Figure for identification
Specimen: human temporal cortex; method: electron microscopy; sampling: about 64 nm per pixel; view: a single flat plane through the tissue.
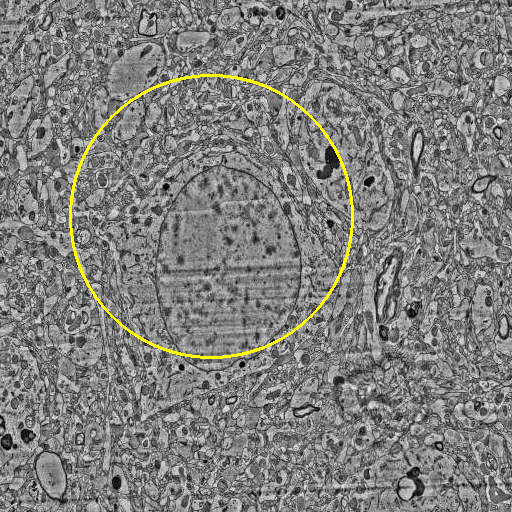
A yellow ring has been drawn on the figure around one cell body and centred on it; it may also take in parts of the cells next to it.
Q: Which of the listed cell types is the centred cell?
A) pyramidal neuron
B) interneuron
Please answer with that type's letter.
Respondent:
A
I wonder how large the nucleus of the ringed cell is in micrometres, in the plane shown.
The nucleus works out at approximately 13 by 9 micrometres in this plane.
